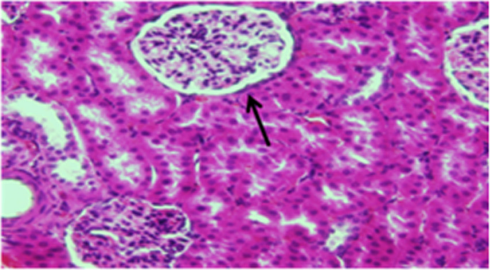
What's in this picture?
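This is kidney cortex with glomeruli and the renal tubules around them. At the top a round glomerular tuft, packed with purple nuclei, sits inside a thin capsule with a narrow clear rim of space. Around it the tubules are lined by cuboidal cells with pink cytoplasm and round dark nuclei, their lumens narrow and clear. The tubules are tightly packed side by side with little space between them. A second glomerulus is seen at the lower edge.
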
